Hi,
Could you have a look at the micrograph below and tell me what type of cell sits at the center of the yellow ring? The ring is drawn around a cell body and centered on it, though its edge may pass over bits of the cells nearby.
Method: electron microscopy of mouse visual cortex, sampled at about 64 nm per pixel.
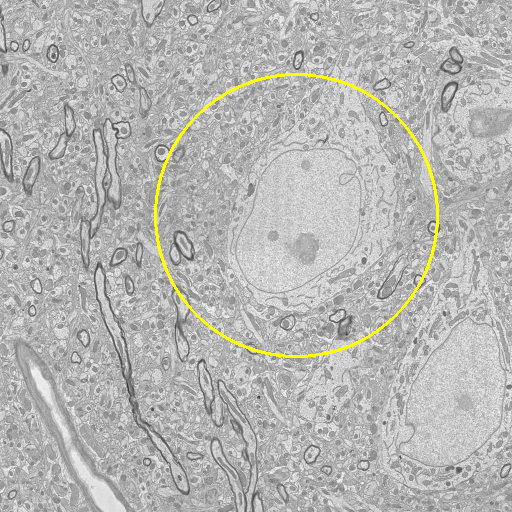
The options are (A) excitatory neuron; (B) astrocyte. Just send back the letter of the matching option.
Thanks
A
